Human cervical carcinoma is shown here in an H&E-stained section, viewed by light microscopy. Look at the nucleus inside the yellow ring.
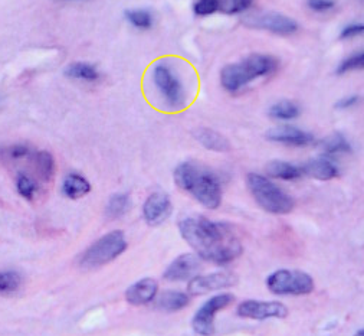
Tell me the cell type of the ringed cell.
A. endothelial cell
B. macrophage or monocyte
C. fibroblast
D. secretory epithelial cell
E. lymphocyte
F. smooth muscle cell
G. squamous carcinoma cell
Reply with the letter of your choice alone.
C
